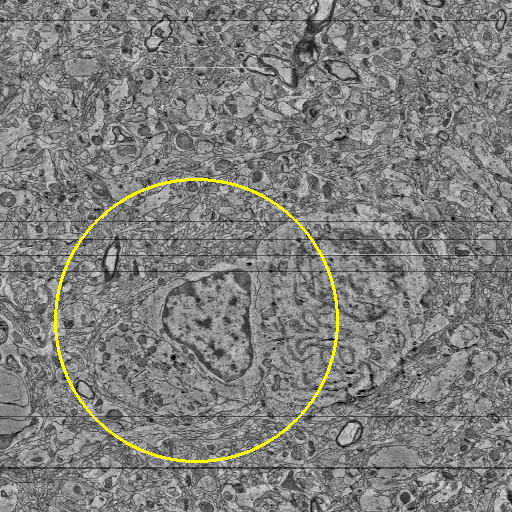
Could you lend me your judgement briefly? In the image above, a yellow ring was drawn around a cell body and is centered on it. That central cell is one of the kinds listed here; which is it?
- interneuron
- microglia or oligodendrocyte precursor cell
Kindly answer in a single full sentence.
Going by the list, a microglial cell or oligodendrocyte precursor cell is the kind at the ring's center in the picture.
